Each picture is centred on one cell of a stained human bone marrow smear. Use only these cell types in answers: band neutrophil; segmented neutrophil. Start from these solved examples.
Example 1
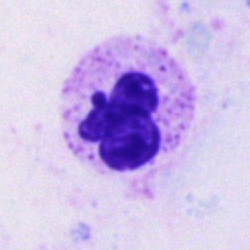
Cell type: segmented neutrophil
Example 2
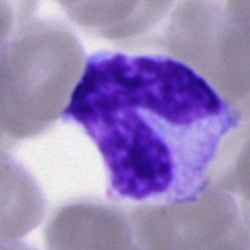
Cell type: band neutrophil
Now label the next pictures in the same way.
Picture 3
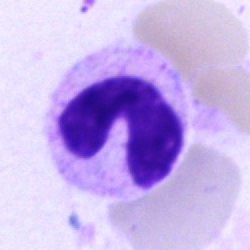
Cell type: band neutrophil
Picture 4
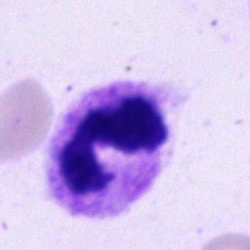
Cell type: segmented neutrophil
